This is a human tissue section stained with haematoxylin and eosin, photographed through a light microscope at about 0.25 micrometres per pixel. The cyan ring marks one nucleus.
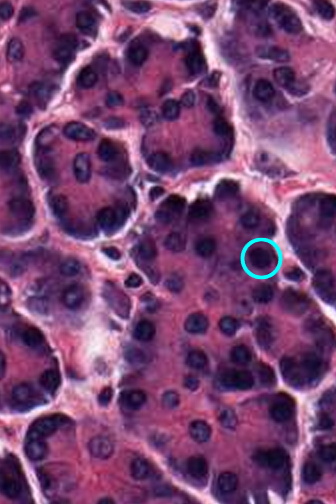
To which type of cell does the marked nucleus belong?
pancreatic acinar cell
